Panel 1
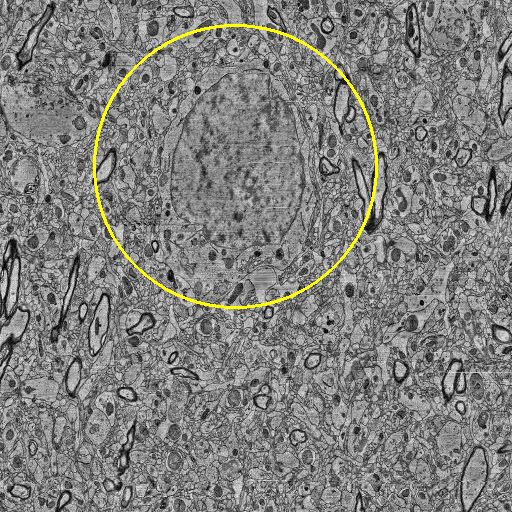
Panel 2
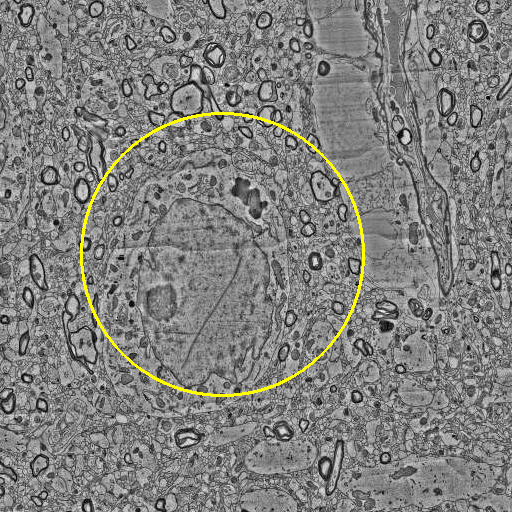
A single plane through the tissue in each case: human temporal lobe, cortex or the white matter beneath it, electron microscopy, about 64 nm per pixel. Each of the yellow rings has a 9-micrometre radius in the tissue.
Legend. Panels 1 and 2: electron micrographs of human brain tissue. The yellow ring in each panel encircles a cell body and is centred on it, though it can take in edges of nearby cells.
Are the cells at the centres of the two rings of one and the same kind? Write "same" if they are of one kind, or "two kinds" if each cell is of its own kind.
same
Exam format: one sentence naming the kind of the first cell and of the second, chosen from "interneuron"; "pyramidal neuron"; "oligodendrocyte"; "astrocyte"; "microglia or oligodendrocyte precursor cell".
Both cells are the same kind, each one being an interneuron.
